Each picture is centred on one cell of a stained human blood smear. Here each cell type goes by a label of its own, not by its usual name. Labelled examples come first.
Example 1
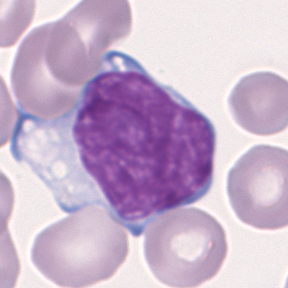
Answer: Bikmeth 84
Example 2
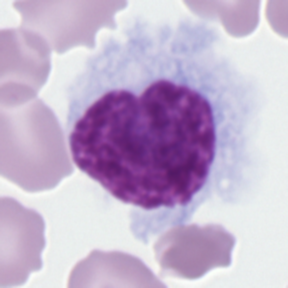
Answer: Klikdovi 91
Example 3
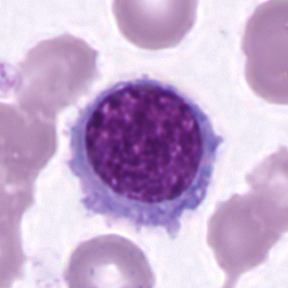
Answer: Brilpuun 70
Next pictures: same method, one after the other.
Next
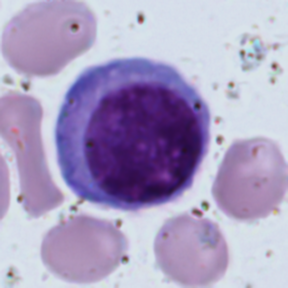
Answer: Brilpuun 70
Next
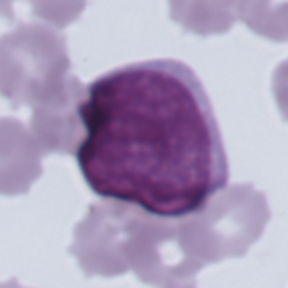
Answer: Bikmeth 84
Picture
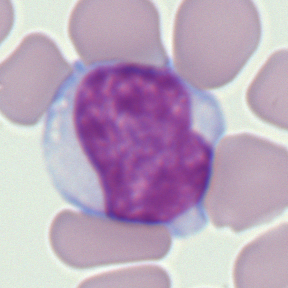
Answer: Bikmeth 84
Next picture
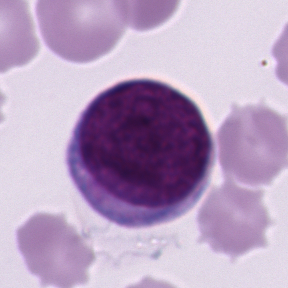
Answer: Bikmeth 84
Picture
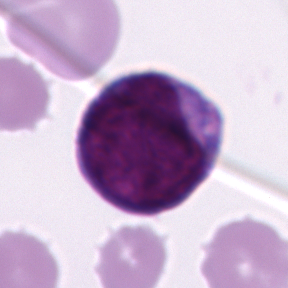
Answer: Bikmeth 84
